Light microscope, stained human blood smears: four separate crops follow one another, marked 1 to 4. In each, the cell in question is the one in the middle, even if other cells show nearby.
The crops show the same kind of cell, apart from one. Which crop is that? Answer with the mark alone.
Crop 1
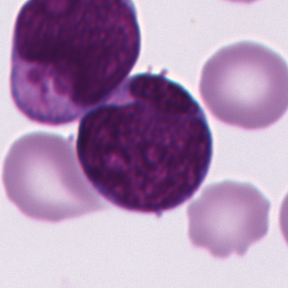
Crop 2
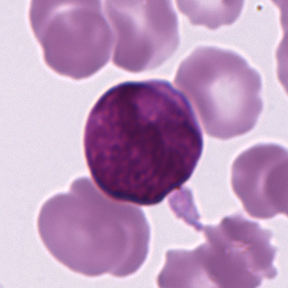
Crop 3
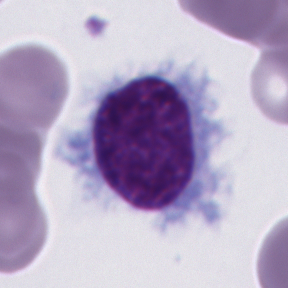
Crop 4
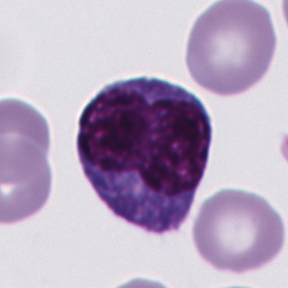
3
